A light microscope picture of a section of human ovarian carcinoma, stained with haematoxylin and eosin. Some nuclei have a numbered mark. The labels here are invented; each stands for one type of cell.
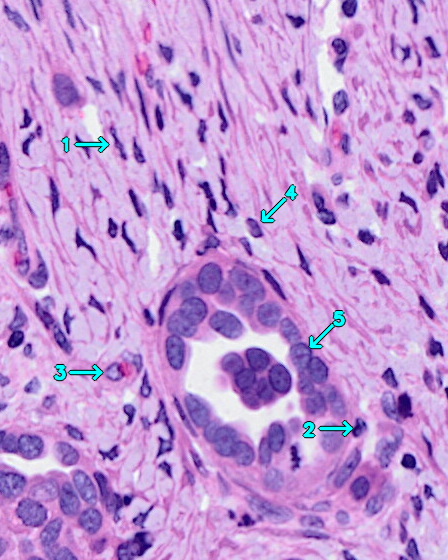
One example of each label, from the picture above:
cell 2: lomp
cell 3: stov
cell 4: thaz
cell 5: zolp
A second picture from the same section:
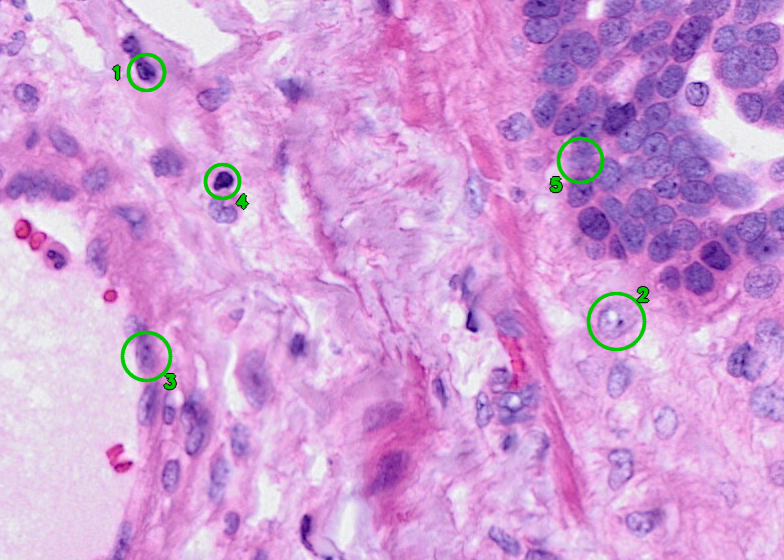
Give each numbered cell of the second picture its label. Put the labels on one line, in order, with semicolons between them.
lomp; thaz; stov; lomp; zolp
